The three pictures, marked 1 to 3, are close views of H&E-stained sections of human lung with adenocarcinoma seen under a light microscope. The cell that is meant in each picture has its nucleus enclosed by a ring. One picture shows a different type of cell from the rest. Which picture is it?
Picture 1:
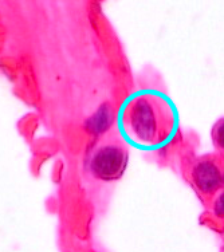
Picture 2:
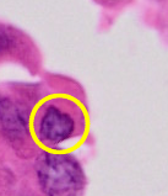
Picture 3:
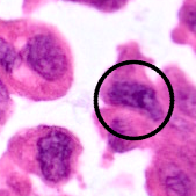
1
